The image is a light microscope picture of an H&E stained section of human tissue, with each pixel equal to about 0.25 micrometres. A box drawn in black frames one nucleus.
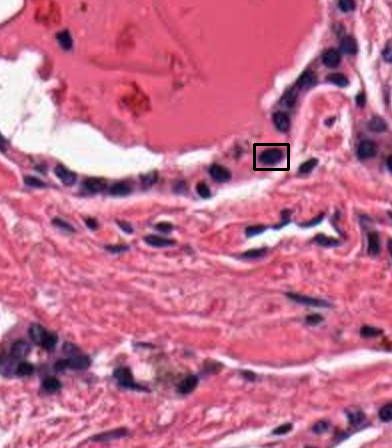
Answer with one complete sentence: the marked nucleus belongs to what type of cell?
The marked nucleus is that of a thyroid follicular cell in this section.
